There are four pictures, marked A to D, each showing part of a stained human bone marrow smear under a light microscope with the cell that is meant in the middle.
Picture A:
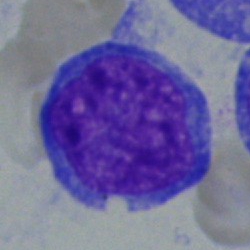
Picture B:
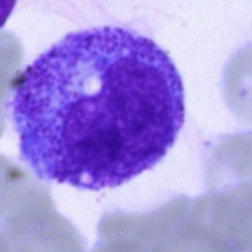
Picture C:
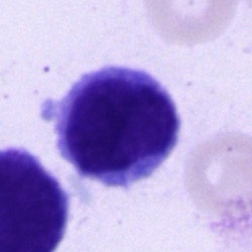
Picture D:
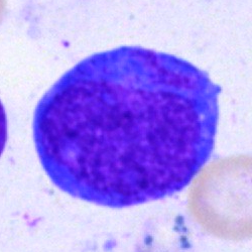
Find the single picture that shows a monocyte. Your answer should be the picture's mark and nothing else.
C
